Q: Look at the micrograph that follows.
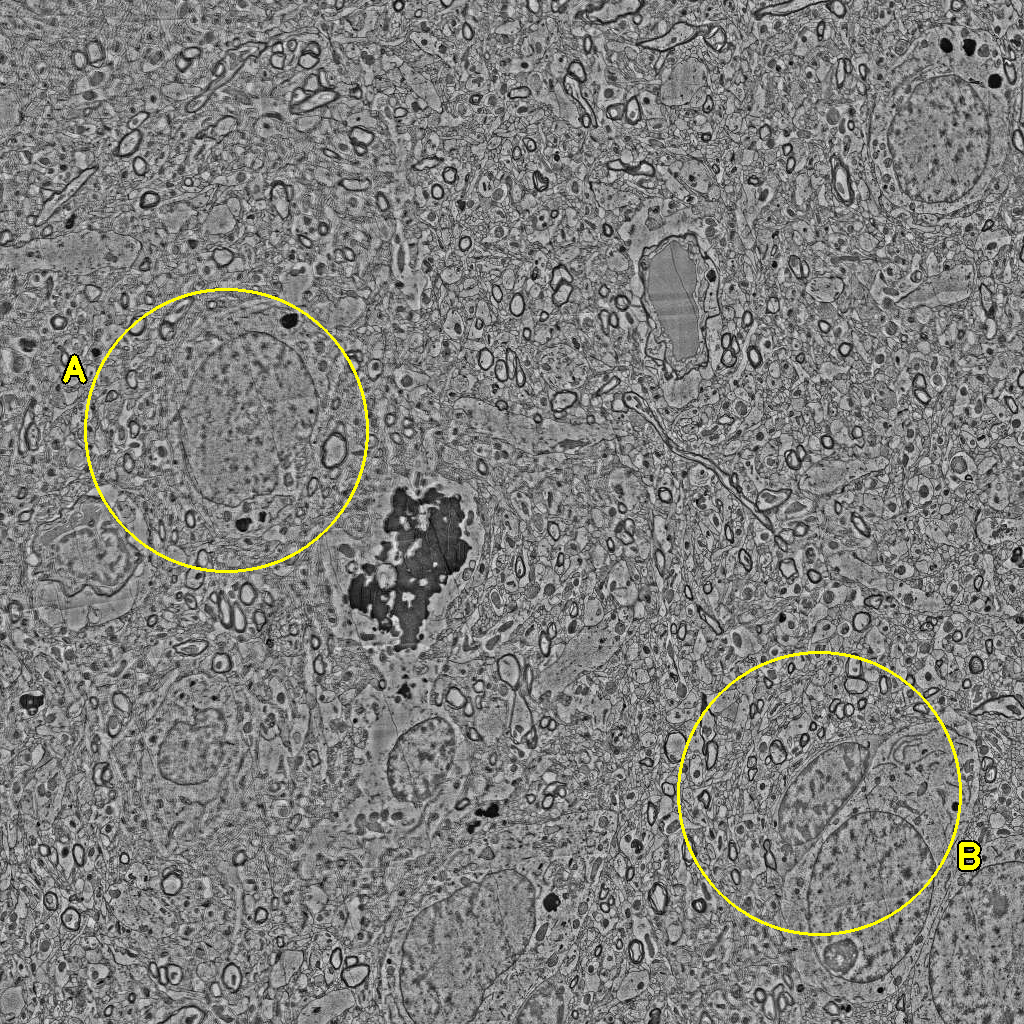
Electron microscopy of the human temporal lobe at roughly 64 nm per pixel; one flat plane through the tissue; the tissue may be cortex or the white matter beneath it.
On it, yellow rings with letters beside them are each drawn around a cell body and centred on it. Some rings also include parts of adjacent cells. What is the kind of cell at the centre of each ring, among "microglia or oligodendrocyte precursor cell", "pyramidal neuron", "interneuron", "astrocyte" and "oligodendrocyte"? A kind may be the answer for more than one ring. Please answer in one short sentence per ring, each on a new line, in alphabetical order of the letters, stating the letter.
Ring A surrounds the cell body of a pyramidal neuron.
Ring B surrounds the cell body of an oligodendrocyte.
